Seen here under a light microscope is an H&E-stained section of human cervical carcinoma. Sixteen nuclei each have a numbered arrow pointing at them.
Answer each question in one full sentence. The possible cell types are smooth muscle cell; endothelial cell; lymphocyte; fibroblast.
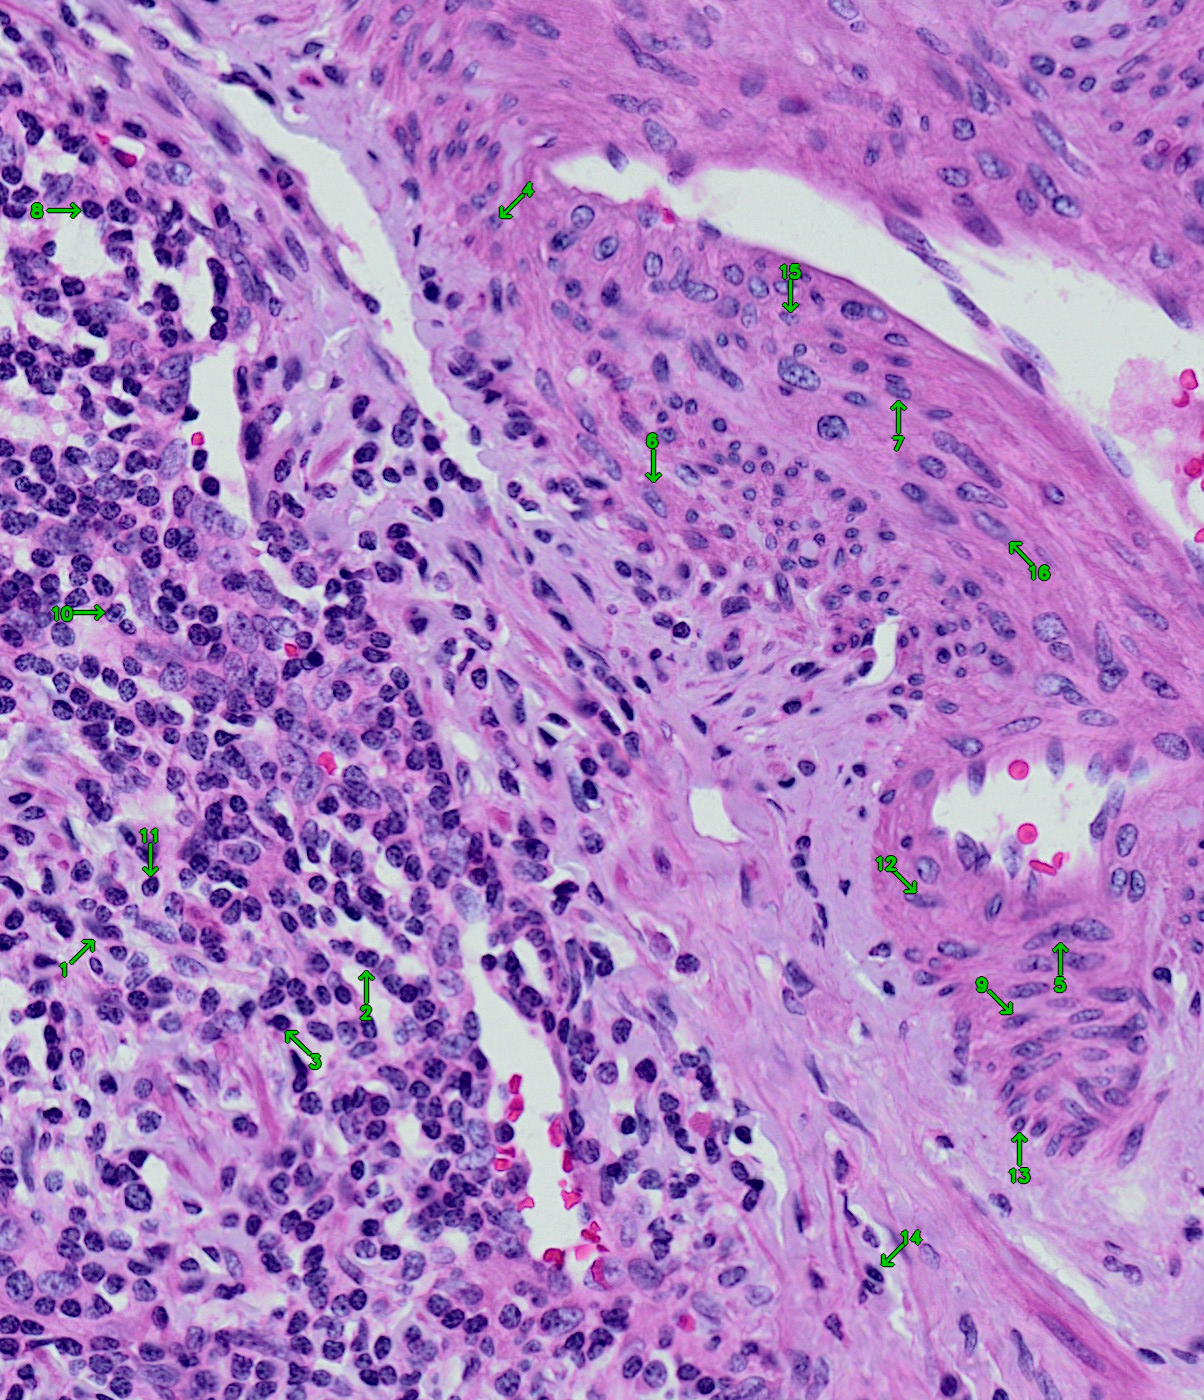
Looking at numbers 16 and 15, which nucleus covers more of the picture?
Nucleus 16 is larger, with an area about 4 times that of nucleus 15.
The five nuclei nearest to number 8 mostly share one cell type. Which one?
Lymphocytes make up most of the five nuclei closest to number 8.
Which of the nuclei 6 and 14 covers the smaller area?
The smaller nucleus is 14, and 6 covers roughly 2 times its area.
